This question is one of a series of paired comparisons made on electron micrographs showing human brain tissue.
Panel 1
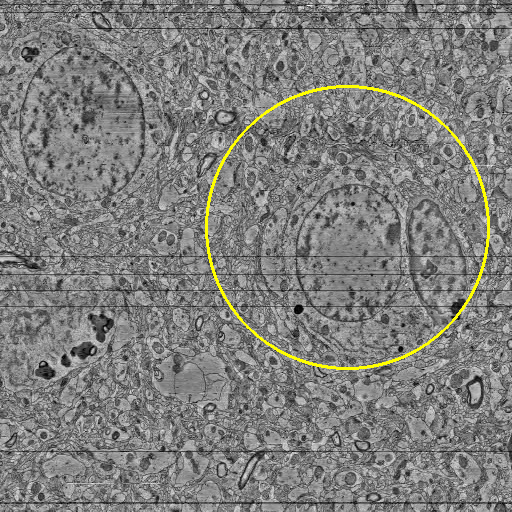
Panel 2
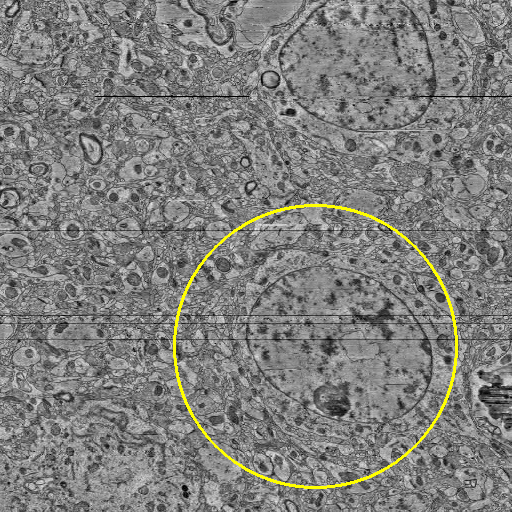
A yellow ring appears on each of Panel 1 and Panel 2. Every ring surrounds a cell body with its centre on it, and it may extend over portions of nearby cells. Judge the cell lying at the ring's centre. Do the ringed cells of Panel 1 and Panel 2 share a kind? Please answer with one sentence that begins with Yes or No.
Yes, the ring-centre cell in Panel 1 and the one in Panel 2 are of one kind.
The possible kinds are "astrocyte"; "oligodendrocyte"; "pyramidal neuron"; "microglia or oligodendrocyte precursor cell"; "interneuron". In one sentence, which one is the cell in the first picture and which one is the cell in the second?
Both the first and the second picture show a pyramidal neuron in the ring.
